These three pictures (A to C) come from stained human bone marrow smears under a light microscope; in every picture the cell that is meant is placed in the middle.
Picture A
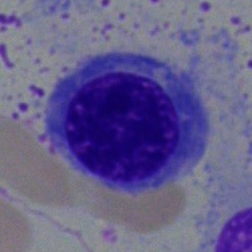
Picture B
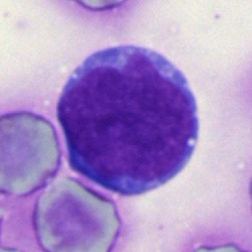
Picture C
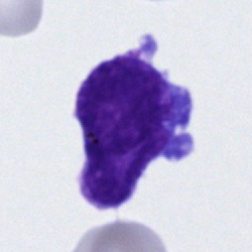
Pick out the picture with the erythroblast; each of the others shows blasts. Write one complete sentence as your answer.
Picture A shows the erythroblast.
